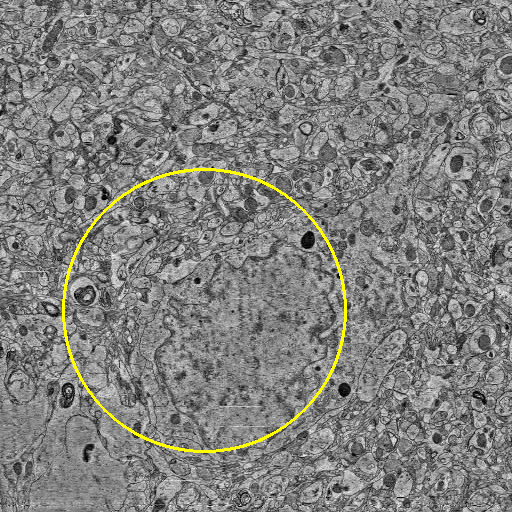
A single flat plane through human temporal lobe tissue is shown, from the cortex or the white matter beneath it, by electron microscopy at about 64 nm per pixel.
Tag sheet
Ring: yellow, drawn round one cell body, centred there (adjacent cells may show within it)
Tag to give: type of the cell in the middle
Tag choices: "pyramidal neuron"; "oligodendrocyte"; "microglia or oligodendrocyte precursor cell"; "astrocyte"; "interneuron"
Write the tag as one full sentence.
I tag the cell centred in the yellow ring as an interneuron in this picture.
